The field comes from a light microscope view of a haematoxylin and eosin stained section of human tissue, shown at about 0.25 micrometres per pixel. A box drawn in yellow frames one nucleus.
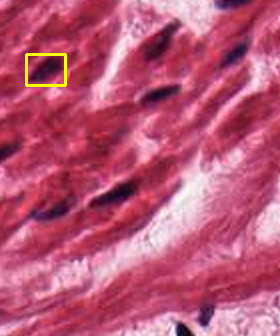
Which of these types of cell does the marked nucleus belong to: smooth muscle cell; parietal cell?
smooth muscle cell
